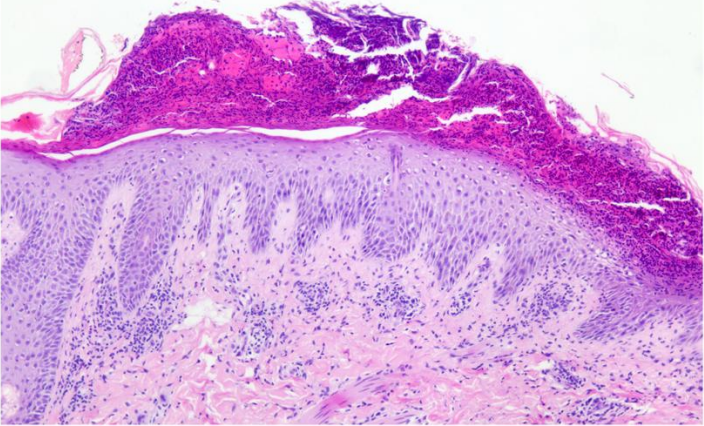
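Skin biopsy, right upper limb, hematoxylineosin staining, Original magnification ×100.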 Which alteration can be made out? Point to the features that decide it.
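A dense collection of small dark-staining nuclei sits on top of the epidermis. The collection lies above the living epidermal layers, separated by a thin cleft. Pink eosinophilic material is mixed within the collection.
Hence: pustule formation.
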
